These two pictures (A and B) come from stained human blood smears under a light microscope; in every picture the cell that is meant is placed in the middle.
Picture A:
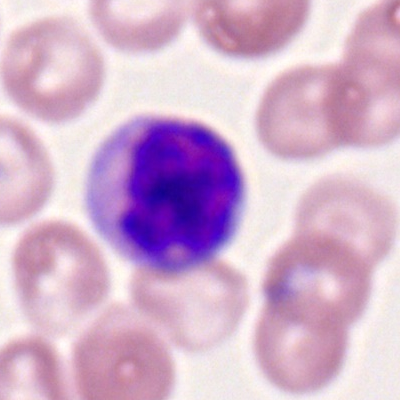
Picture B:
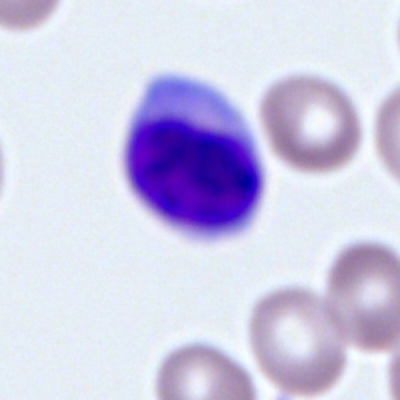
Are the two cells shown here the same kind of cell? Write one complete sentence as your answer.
Yes, both are lymphocytes.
